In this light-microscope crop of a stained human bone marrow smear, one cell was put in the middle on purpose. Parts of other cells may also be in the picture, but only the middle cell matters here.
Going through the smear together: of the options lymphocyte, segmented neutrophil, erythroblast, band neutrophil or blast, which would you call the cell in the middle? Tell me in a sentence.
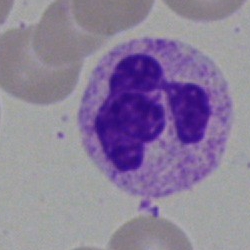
Among the cells in view, the one in the middle is a segmented neutrophil.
